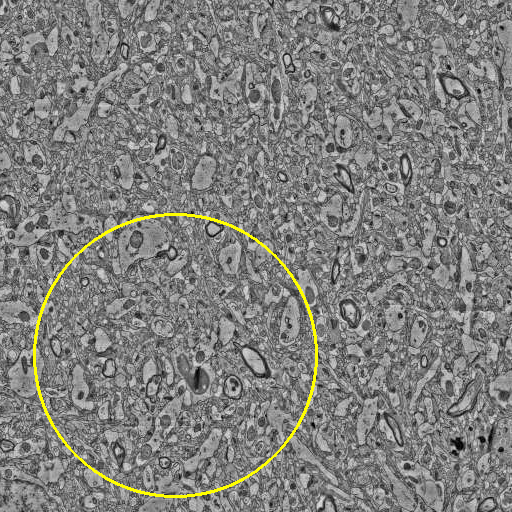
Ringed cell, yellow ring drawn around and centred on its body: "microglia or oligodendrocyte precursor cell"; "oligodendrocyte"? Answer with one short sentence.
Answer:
This ringed cell is a microglial cell or oligodendrocyte precursor cell.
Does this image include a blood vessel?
No, there is no blood vessel.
